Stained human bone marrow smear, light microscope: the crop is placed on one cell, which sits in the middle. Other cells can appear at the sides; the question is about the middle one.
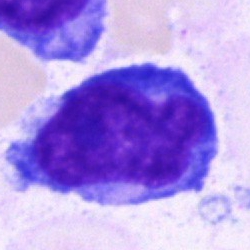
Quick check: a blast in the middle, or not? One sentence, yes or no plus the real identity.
Yes, the crop is centred on a blast.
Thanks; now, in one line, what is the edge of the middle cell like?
The cell shows an uneven border, formed by ragged areas or by outward projections.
